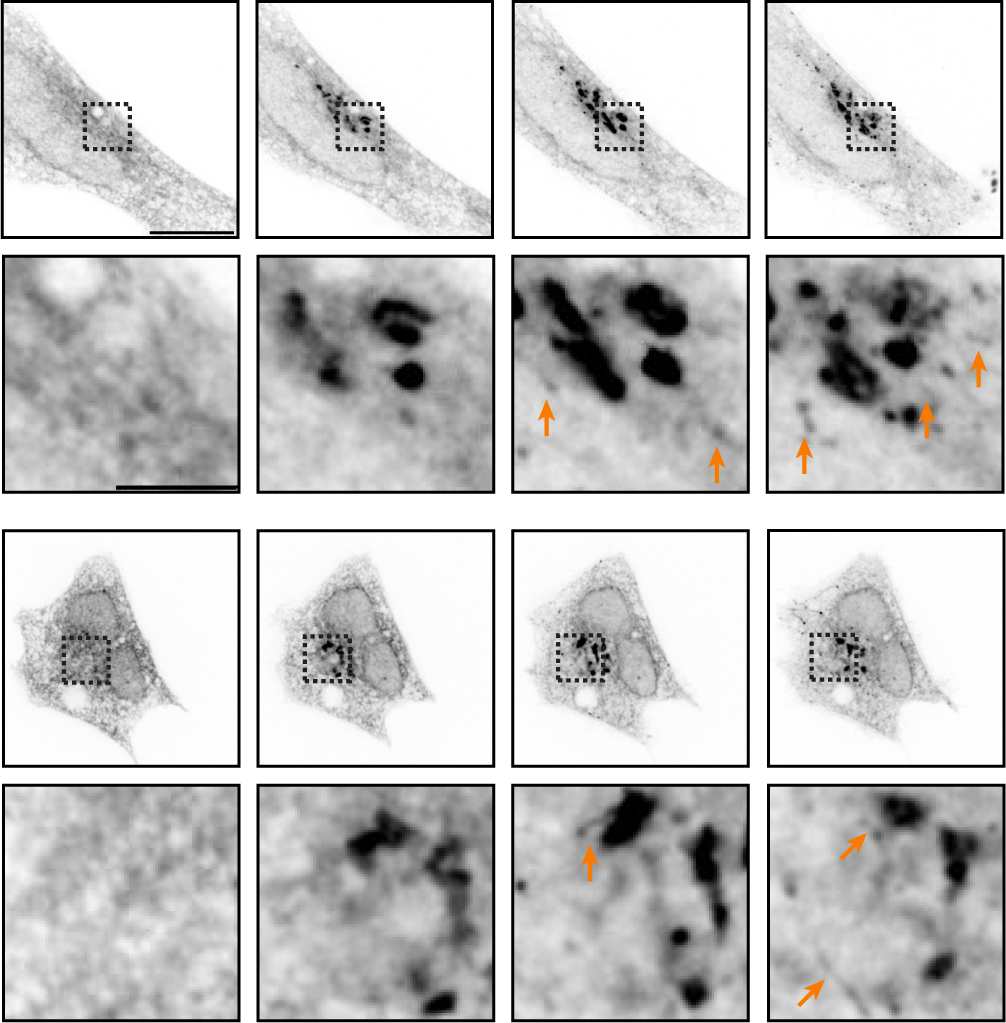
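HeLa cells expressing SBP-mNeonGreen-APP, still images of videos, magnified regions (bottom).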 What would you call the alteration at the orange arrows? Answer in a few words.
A: release events from the Golgi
